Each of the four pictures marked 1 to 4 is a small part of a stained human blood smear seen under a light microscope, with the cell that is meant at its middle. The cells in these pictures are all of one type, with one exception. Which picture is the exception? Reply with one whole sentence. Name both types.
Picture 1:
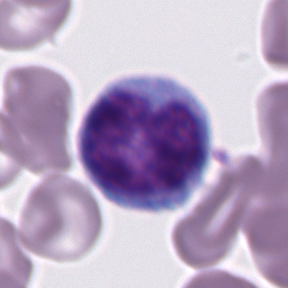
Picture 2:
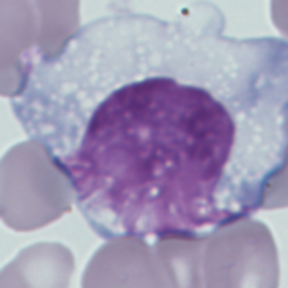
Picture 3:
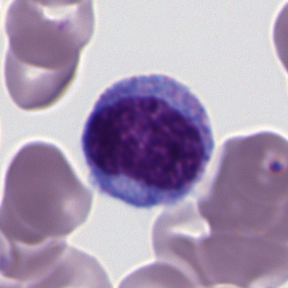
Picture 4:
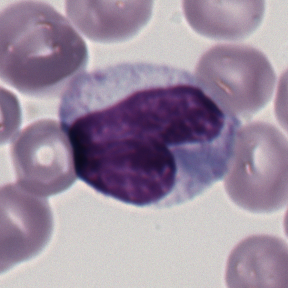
Picture 4 is the odd one out: it shows a band neutrophil, while the others show monocytes.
